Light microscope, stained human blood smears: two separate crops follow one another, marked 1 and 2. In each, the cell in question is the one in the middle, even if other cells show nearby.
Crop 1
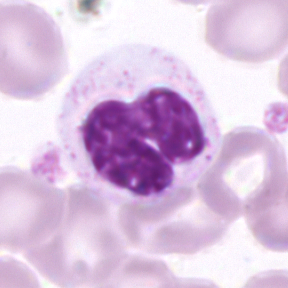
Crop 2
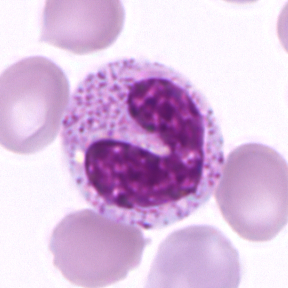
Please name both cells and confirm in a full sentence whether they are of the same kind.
Yes, both crops show band neutrophils, each crop centred on one of them.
